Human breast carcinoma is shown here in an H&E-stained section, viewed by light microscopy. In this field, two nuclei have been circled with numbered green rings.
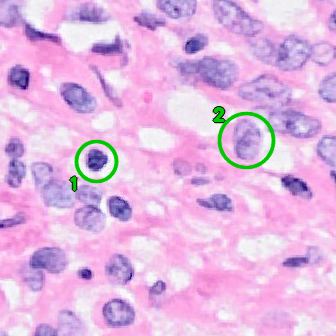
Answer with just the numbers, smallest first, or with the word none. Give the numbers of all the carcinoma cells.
2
